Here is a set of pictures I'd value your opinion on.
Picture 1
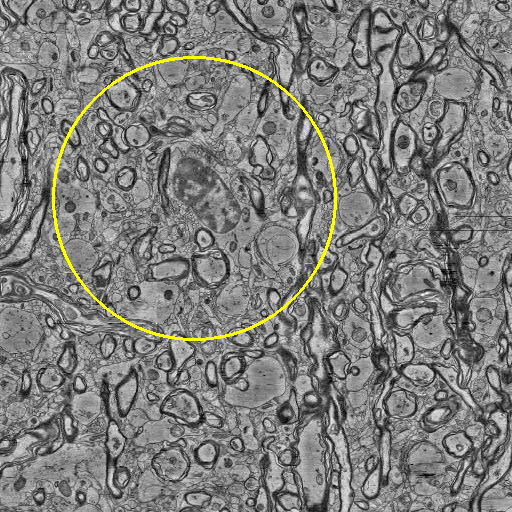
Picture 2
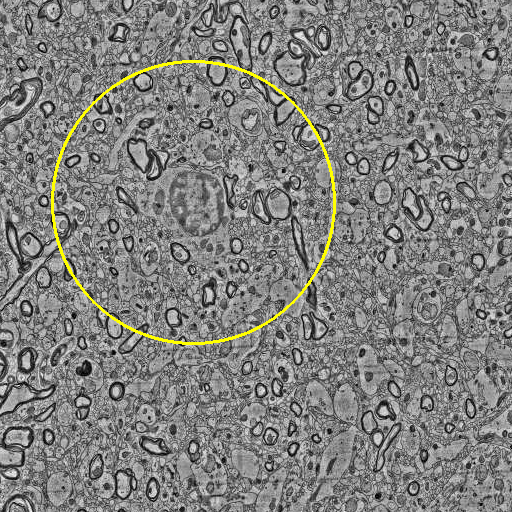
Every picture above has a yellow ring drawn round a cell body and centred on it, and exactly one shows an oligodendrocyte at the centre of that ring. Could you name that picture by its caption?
Picture 2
